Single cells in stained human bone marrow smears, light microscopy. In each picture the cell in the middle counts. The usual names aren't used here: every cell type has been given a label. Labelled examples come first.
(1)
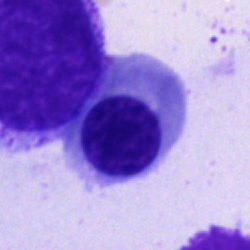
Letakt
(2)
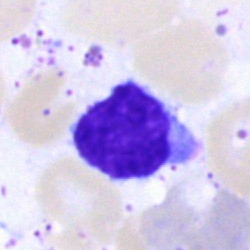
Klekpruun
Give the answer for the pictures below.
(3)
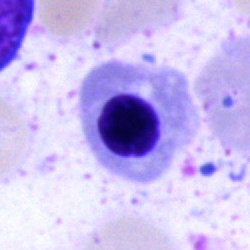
Letakt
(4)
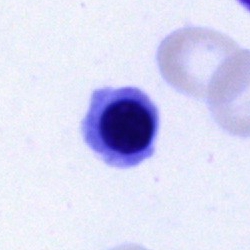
Letakt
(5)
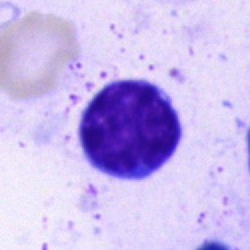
Klekpruun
